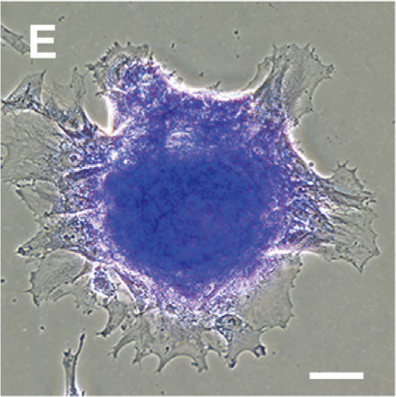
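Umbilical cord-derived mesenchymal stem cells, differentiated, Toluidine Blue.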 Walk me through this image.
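The centre is a dense, rounded mass that takes up the stain deeply, a sign of cartilage-like matrix. At its edge, paler flattened cells spread out onto the dish with ragged, pointed projections. The blue is strongest in the core and fades toward the spreading margin.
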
